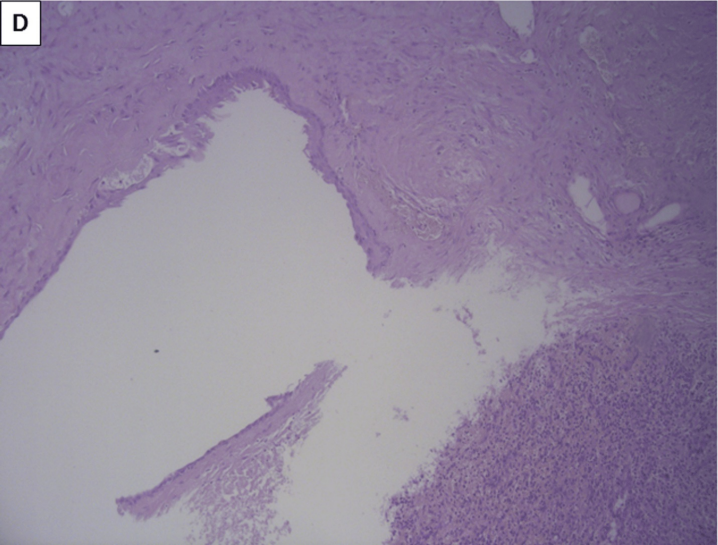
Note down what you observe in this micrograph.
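A cyst wall lined by stratified epithelium borders a large empty cavity. A detached strip of the layered lining lies free in the cavity. At the lower right lies a densely cellular region packed with small, dark, round nuclei, sharply contrasting with the pale fibrous wall above it.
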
